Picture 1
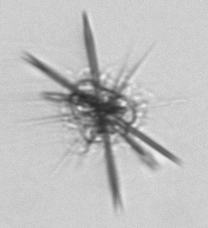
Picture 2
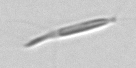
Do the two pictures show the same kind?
No: a radiolarian, then Calciosolenia.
